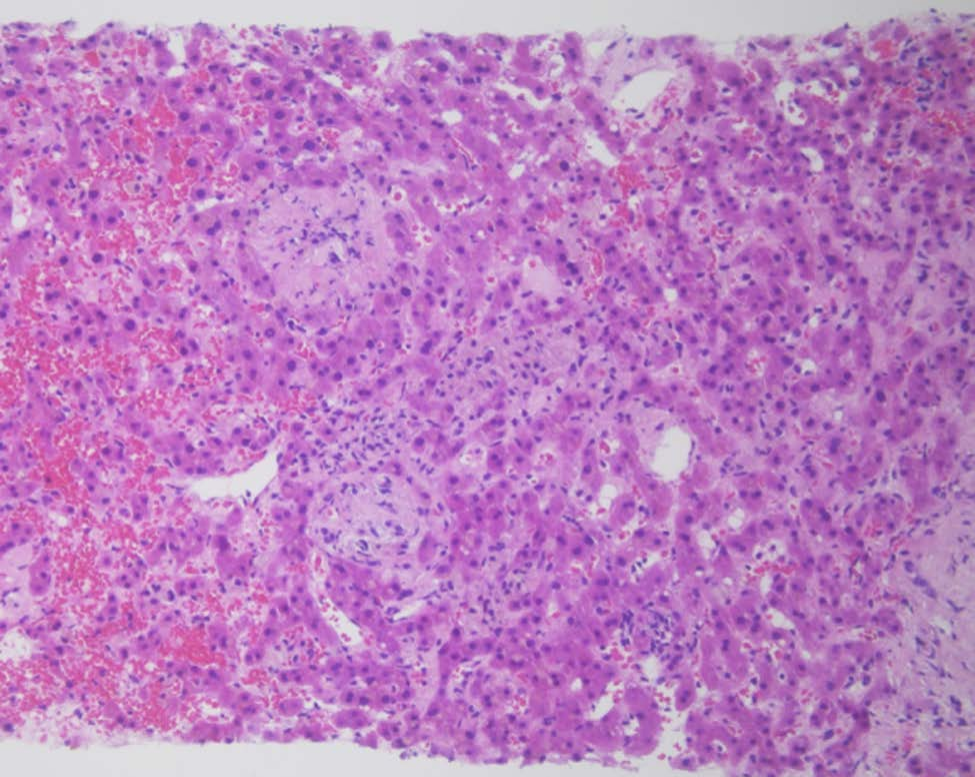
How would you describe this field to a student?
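Liver tissue with hepatocytes in irregular, disordered plates. The hepatocytes are polygonal, with pink eosinophilic cytoplasm and round, dark purple central nuclei. On the left, the spaces between the plates are widened and filled with many bright red red blood cells, which separate and surround the hepatocytes. Toward the middle there are pale pink, loosely textured rounded areas. In these areas the plates are replaced by fibrous material with scattered small, elongated spindle-shaped nuclei and a few inflammatory cells. Several small empty vascular spaces are scattered through the tissue. The normal regular radial arrangement of the plates is lost.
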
